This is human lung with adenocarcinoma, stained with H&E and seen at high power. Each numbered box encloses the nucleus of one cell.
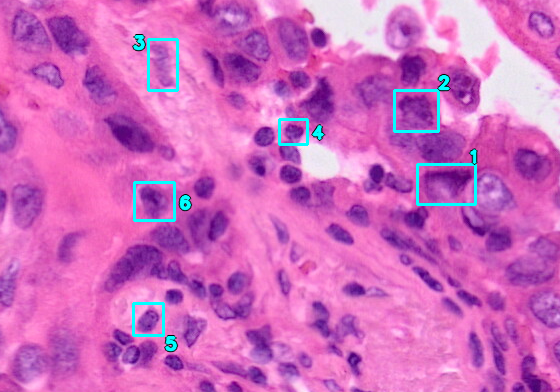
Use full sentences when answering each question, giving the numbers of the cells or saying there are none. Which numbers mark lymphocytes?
The numbers 4 and 5 in this section indicate lymphocytes.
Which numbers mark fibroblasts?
Only the cell numbered 3 qualifies as a fibroblast among the marked cells.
